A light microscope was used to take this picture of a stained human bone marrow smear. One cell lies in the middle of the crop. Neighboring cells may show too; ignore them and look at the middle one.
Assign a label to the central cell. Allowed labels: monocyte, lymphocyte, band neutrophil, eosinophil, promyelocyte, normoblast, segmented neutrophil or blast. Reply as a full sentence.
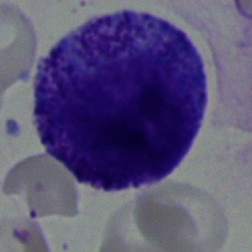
The central cell shown in this smear crop is a promyelocyte.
